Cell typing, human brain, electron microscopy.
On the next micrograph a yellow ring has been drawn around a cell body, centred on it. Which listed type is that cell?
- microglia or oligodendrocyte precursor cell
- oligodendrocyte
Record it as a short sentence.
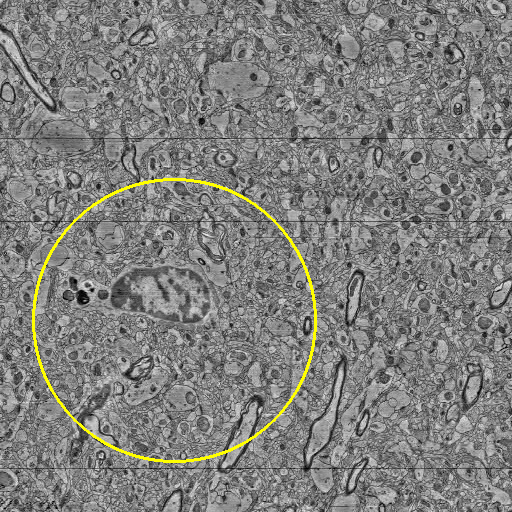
The cell body in the ring's centre belongs to a microglial cell or oligodendrocyte precursor cell.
